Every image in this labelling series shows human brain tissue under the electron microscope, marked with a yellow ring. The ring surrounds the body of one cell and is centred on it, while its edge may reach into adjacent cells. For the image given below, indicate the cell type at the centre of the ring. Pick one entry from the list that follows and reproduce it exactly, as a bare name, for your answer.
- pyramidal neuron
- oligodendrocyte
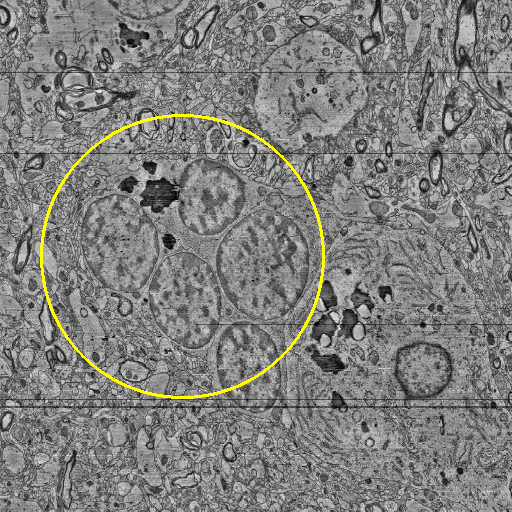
oligodendrocyte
